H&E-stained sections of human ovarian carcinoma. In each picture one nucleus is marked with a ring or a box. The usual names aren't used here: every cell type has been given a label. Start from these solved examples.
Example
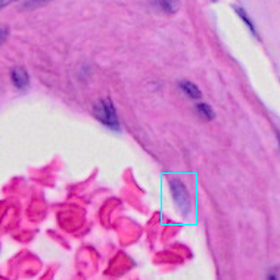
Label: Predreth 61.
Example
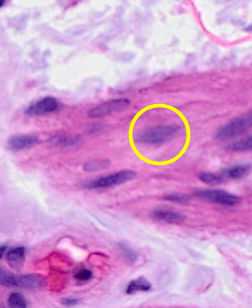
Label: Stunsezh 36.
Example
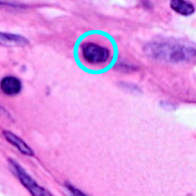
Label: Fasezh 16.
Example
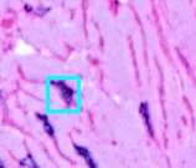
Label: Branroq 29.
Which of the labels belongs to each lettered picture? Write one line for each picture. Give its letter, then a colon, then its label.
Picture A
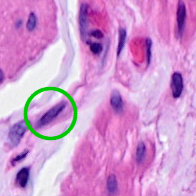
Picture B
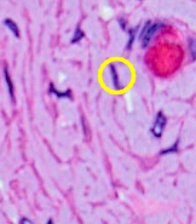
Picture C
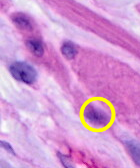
A: Predreth 61.
B: Branroq 29.
C: Stunsezh 36.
